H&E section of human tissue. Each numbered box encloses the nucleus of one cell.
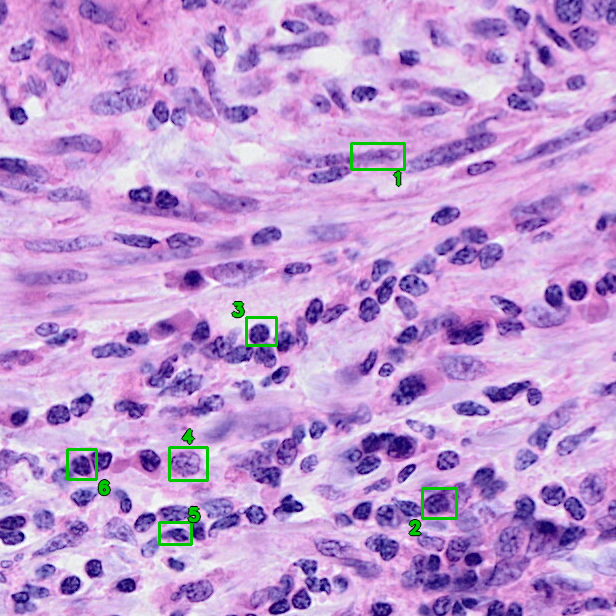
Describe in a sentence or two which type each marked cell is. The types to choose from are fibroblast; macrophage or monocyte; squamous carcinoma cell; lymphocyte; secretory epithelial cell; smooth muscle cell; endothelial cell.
Cell 1 is a fibroblast, cell 2 is a lymphocyte, cell 3 is a lymphocyte, cell 4 is a macrophage or monocyte, cell 5 is a lymphocyte and cell 6 is a lymphocyte.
